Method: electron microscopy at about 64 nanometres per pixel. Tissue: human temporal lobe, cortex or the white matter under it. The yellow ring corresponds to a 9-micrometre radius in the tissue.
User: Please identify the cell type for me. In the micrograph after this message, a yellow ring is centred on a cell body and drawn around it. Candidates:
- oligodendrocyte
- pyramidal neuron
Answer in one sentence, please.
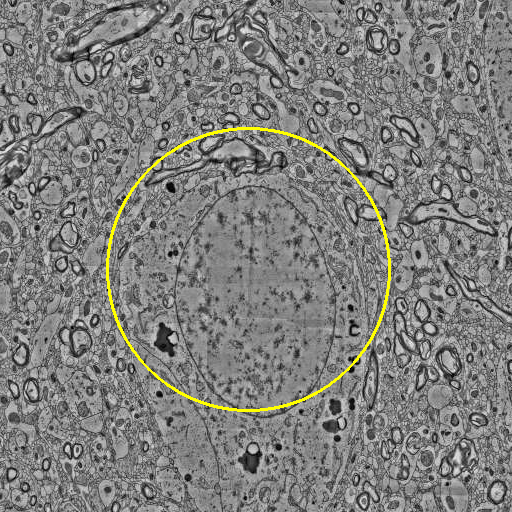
The ring is drawn around the cell body of a pyramidal neuron.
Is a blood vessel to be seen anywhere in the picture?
No, none appears.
